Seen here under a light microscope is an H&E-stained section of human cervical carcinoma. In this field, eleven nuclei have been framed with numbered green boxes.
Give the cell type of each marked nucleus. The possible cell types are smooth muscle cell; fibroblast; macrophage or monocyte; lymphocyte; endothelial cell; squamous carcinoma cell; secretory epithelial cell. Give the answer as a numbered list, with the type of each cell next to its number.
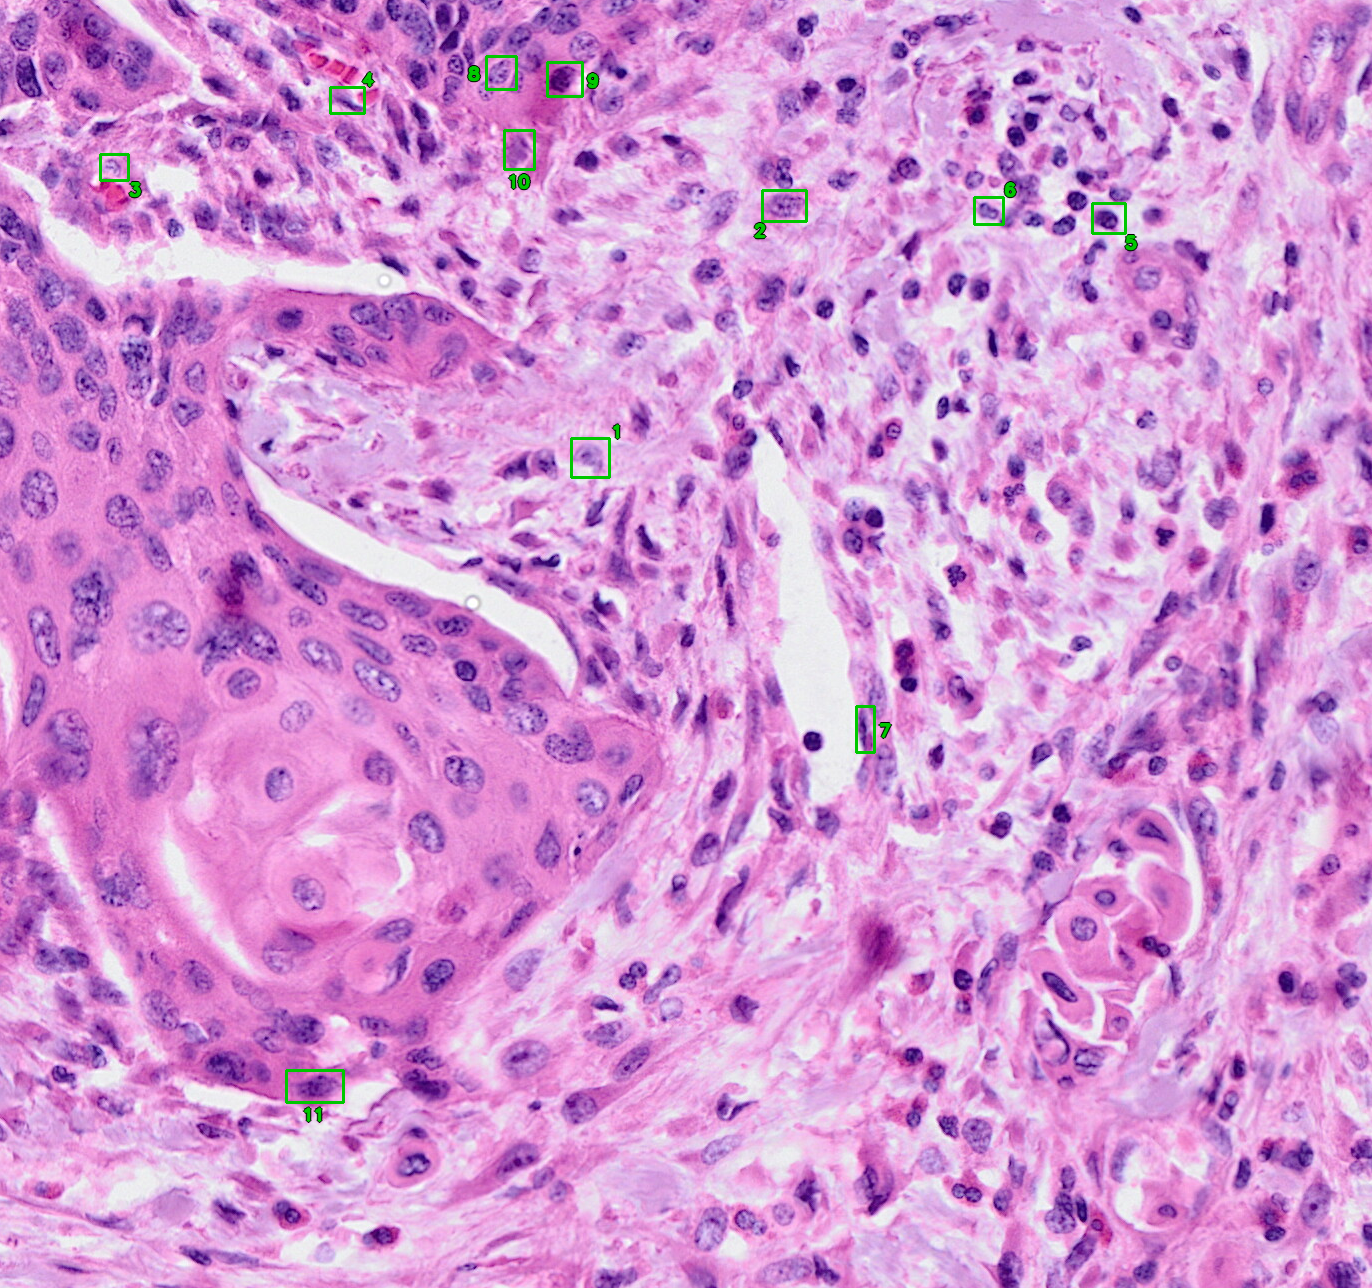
1. fibroblast
2. macrophage or monocyte
3. endothelial cell
4. endothelial cell
5. lymphocyte
6. lymphocyte
7. endothelial cell
8. squamous carcinoma cell
9. squamous carcinoma cell
10. fibroblast
11. squamous carcinoma cell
